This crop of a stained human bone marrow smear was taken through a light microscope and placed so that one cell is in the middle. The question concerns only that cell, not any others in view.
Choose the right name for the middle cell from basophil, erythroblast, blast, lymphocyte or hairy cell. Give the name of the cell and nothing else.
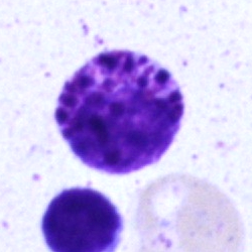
basophil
